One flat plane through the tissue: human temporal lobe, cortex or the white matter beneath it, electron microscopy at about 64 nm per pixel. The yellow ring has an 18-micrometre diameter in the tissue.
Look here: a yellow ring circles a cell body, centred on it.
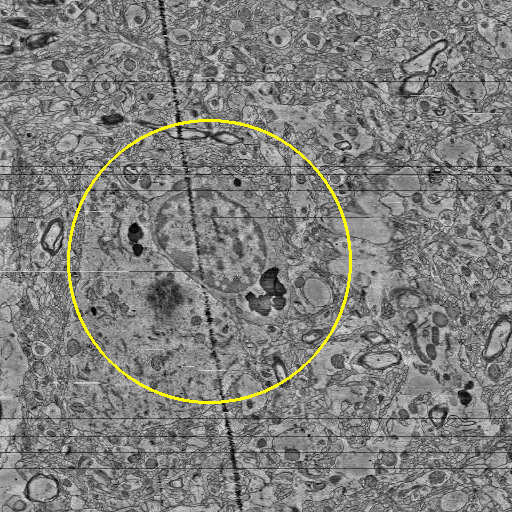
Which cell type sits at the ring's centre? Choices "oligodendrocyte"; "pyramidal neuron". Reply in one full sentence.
The cell at the centre of the yellow ring in the picture is an oligodendrocyte.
